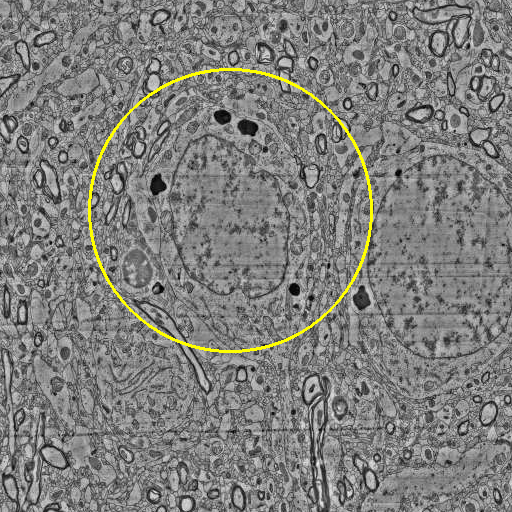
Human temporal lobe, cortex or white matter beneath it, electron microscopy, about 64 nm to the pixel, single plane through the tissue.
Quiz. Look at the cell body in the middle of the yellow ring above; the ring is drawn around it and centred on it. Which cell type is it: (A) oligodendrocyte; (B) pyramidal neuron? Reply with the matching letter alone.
B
